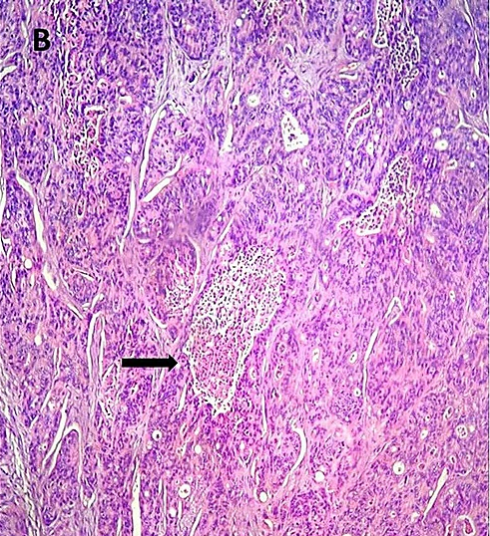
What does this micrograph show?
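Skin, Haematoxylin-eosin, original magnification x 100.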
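Sheets and nests of tumour cells with dark, crowded nuclei are set in pink stroma and traversed by small round lumina and elongated clefts. Within several nests lie pale foci filled with scattered small dark nuclear fragments instead of intact cells. These foci are dirty necrotic debris with karyorrhectic nuclei within an adenocarcinoma.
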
